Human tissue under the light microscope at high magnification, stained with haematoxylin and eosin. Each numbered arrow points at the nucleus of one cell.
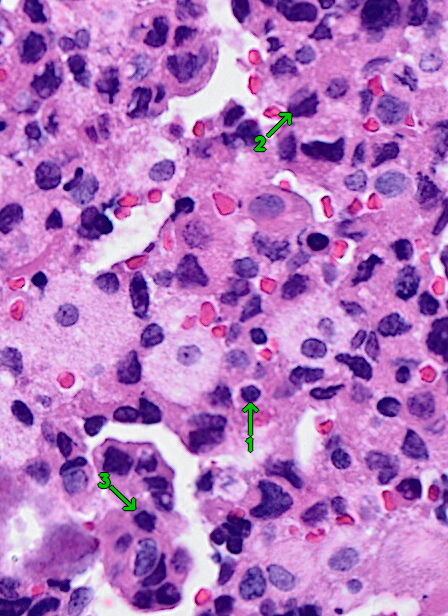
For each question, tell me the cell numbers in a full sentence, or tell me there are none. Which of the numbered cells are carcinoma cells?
Cells 2 and 3 are recognised here as carcinoma cells.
